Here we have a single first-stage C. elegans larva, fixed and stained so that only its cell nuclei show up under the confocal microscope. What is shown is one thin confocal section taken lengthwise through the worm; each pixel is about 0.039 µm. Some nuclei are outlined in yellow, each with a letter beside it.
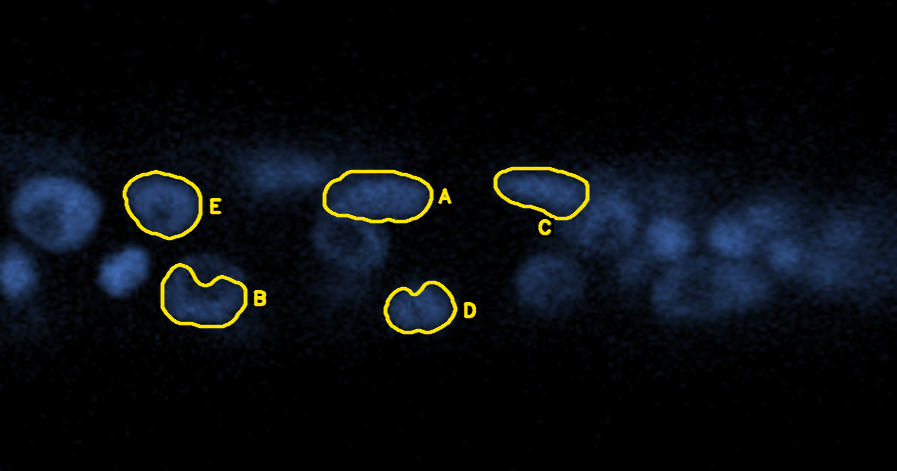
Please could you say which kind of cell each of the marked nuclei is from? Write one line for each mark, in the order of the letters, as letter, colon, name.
A: enteric muscle cell
B: hypodermal cell (hyp)
C: enteric muscle cell
D: body wall muscle cell
E: P cell (ventral epidermal blast cell)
